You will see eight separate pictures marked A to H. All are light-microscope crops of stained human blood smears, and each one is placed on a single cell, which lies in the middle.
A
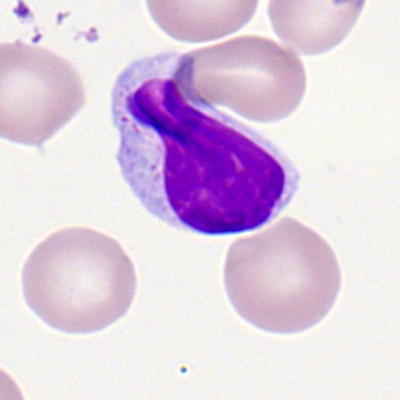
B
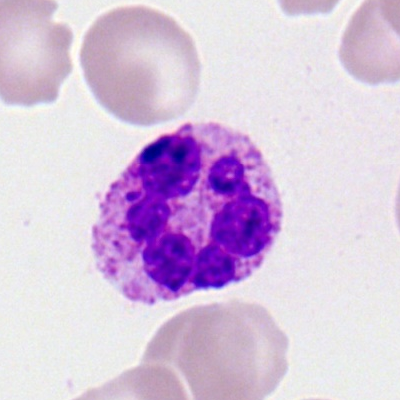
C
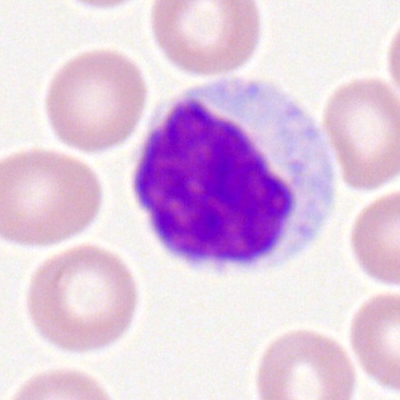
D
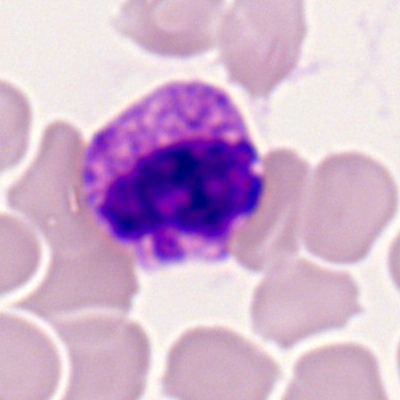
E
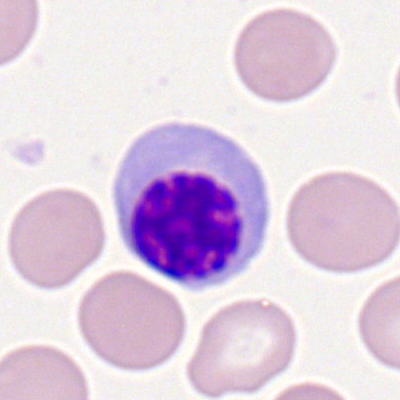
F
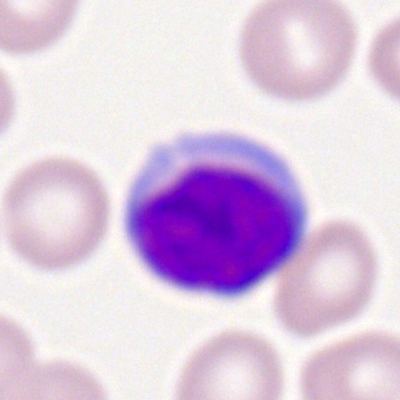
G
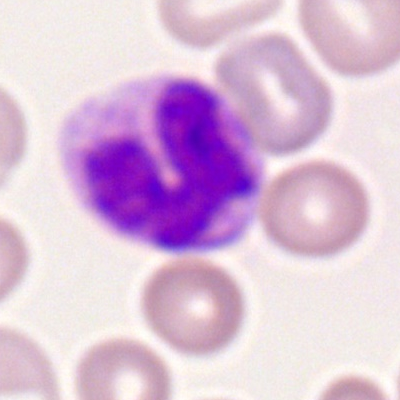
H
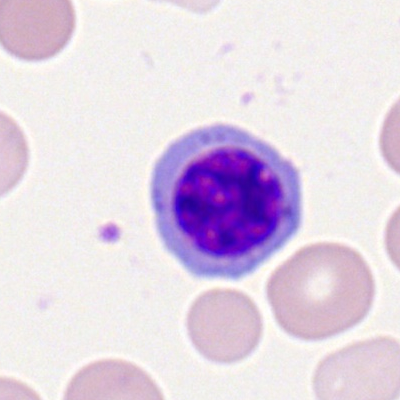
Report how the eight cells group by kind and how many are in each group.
lymphocyte: 3
basophil: 3
normoblast: 2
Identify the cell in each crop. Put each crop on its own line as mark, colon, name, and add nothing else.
A: lymphocyte
B: basophil
C: lymphocyte
D: basophil
E: normoblast
F: lymphocyte
G: basophil
H: normoblast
